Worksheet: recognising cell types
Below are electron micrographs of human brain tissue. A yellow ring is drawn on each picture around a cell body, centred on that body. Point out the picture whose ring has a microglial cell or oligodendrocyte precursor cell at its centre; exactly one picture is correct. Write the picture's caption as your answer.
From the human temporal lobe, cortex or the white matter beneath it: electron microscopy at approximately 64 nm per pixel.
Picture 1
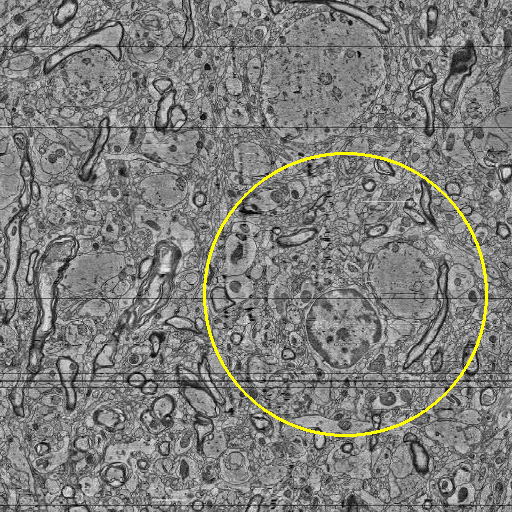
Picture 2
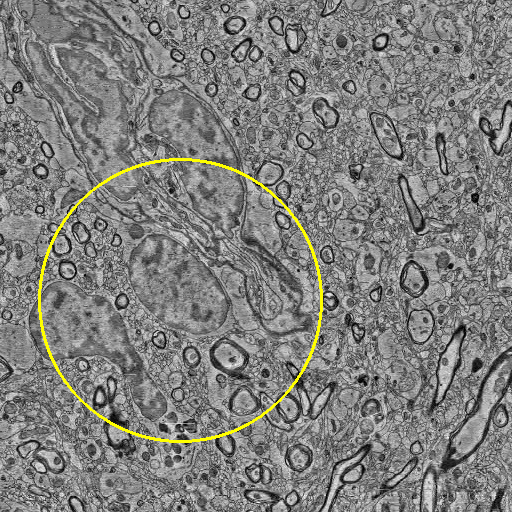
Picture 1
